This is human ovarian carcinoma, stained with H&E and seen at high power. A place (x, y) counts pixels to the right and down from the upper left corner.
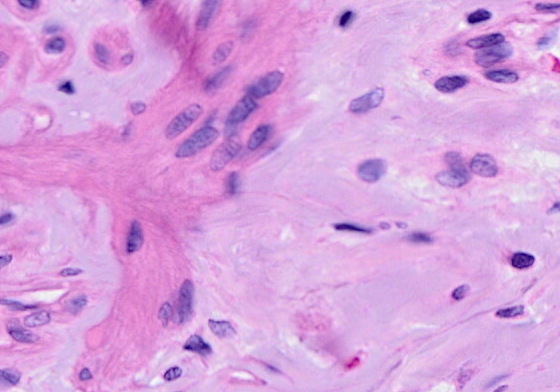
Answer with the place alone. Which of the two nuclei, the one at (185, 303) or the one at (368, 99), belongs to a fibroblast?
(368, 99)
